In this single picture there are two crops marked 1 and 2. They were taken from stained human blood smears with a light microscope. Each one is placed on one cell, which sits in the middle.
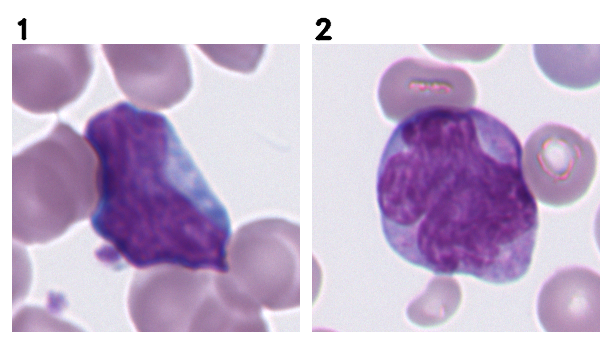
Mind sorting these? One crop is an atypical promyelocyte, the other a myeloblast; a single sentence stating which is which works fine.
Crop 1 should be reported as a myeloblast, and crop 2 as an atypical promyelocyte.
